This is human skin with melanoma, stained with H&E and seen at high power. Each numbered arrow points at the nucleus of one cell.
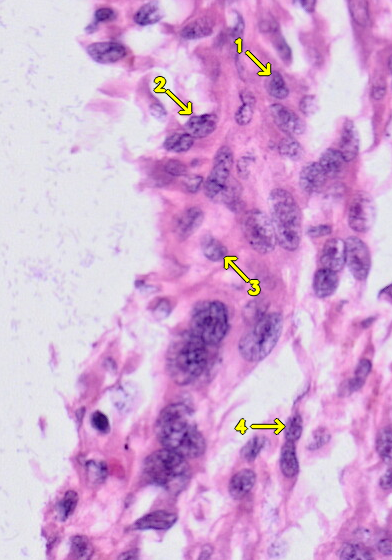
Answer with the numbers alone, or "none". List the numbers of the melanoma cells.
1, 2, 4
